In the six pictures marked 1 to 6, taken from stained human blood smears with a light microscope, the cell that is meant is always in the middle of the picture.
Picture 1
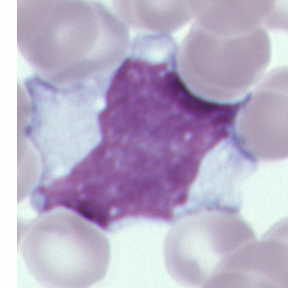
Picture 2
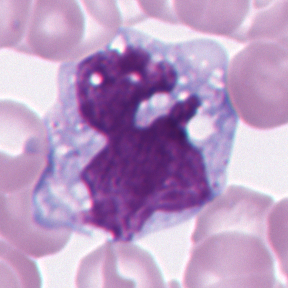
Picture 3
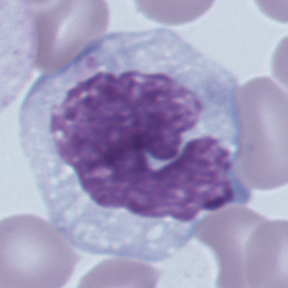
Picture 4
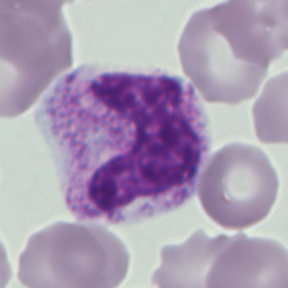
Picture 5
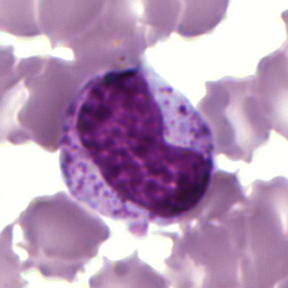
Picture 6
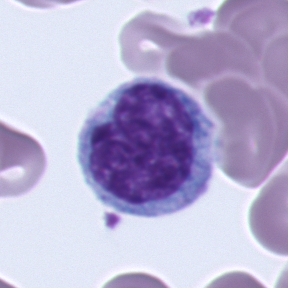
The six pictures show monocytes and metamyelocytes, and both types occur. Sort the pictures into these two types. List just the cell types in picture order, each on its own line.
monocyte
monocyte
monocyte
metamyelocyte
metamyelocyte
monocyte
